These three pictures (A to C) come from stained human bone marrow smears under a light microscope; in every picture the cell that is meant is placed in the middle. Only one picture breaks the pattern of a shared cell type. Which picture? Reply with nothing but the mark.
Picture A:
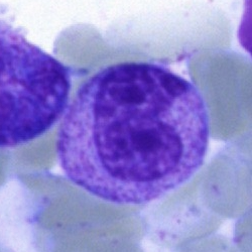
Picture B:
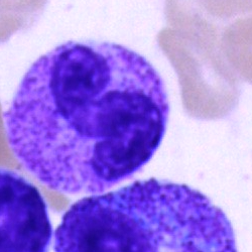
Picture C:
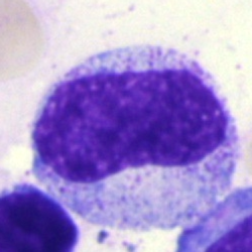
B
